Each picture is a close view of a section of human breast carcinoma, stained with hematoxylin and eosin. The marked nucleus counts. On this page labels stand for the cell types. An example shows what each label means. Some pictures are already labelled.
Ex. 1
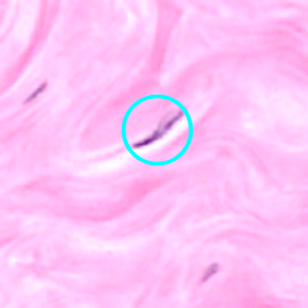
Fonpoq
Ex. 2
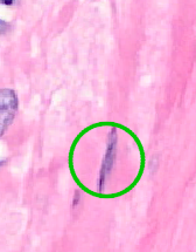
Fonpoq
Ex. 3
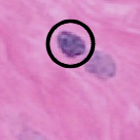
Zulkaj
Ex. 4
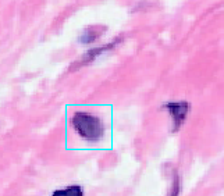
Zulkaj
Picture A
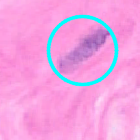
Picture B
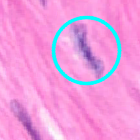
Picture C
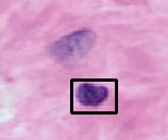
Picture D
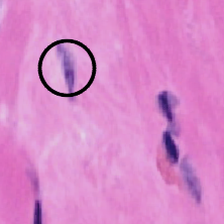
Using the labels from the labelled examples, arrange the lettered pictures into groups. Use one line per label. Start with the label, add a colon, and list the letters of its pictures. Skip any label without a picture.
Fonpoq: A, B, D
Zulkaj: C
